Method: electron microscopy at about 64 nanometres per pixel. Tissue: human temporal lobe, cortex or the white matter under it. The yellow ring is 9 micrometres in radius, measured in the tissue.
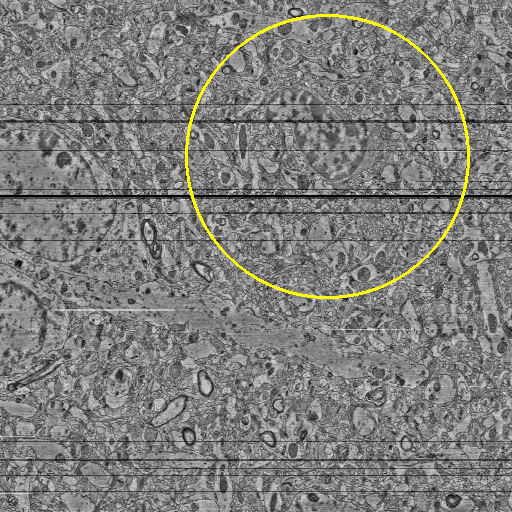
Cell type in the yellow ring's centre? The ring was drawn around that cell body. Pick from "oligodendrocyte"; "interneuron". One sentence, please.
The ringed cell body is that of an oligodendrocyte.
